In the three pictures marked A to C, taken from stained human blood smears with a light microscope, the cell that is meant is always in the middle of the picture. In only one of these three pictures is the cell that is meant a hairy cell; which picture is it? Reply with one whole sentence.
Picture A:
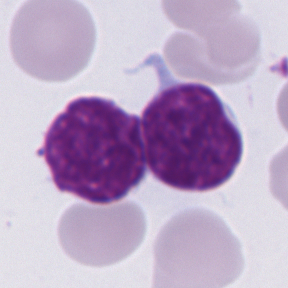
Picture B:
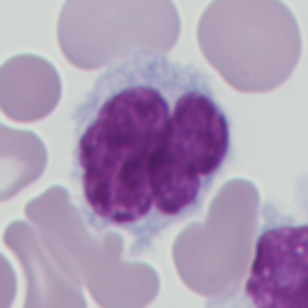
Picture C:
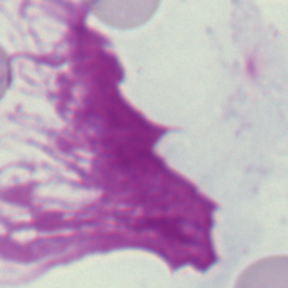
The cell in picture B is the hairy cell.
